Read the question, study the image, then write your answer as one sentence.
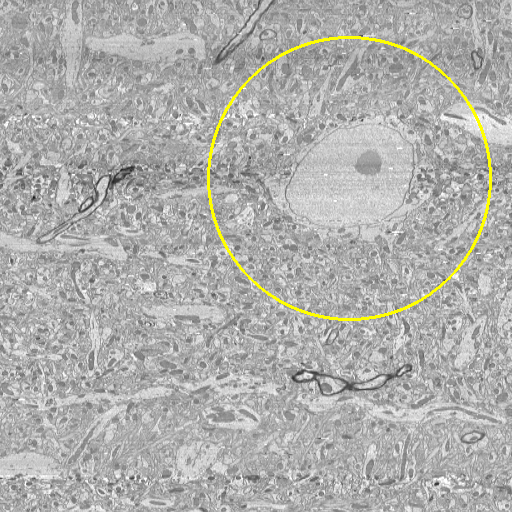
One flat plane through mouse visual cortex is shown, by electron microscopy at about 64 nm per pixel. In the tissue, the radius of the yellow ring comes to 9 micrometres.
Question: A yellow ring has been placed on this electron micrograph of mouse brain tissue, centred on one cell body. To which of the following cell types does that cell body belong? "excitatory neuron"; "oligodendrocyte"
That cell body belongs to an excitatory neuron.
